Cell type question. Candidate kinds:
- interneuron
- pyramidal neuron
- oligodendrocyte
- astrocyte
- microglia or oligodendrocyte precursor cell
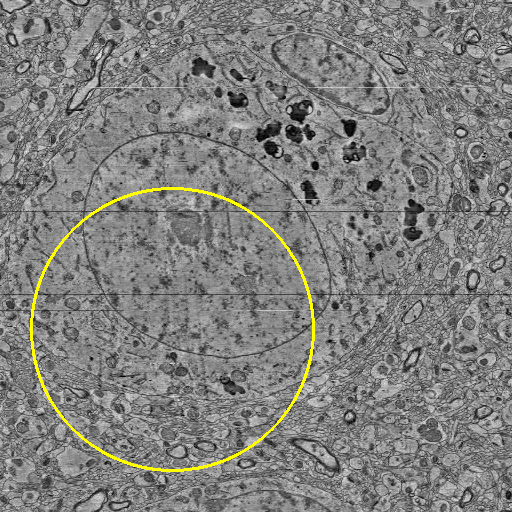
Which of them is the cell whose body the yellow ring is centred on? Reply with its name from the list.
pyramidal neuron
